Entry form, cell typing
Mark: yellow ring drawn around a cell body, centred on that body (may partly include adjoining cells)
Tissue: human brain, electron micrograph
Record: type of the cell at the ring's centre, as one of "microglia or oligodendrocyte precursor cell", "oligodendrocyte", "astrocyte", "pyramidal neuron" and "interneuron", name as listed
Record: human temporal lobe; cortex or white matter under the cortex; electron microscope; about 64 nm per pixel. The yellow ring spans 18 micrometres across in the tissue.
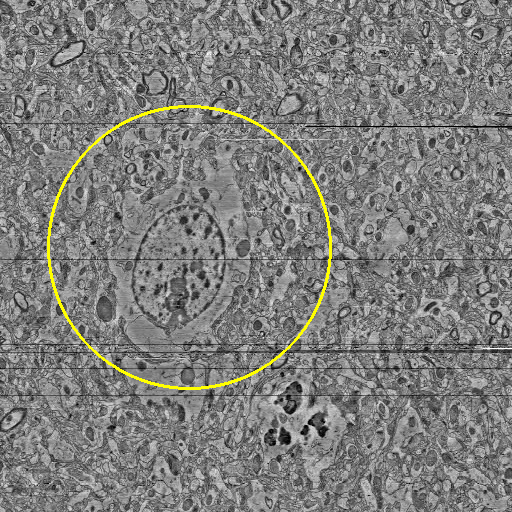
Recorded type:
astrocyte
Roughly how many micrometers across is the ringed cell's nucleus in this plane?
The ringed cell's nucleus is about 8 micrometres long and 6 micrometres wide in this plane.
